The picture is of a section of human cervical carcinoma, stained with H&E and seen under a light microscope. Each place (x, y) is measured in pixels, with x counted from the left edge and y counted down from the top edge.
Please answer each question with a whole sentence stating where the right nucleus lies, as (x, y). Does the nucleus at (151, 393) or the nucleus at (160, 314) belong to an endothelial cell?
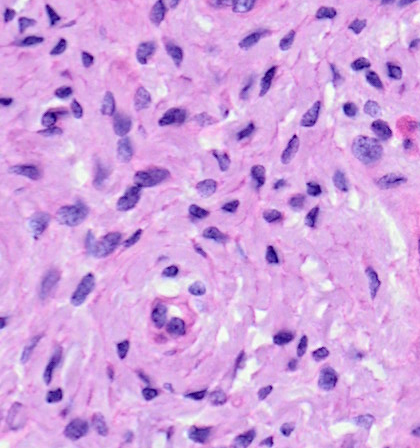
The nucleus positioned at (160, 314) is the one that belongs to an endothelial cell.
